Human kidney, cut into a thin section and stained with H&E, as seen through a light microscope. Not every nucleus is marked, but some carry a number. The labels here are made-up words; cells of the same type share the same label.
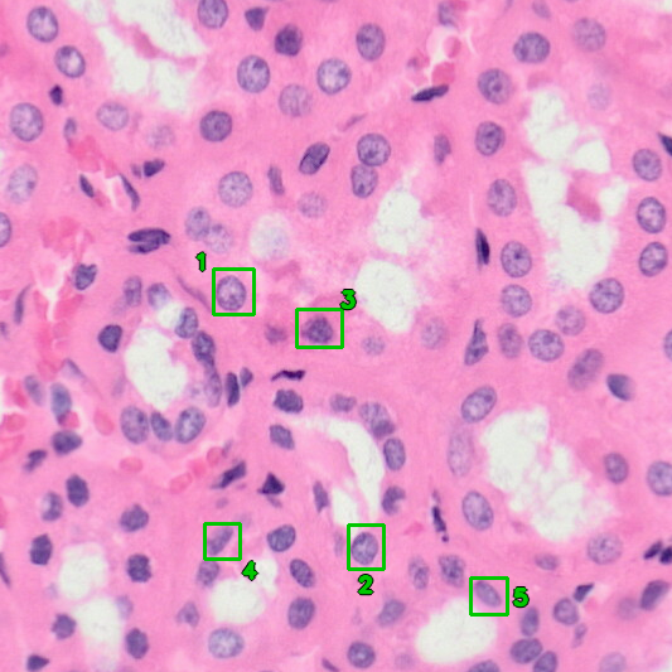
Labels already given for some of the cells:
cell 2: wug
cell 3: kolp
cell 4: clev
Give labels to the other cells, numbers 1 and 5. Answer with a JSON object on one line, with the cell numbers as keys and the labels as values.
{"1": "kolp", "5": "clev"}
